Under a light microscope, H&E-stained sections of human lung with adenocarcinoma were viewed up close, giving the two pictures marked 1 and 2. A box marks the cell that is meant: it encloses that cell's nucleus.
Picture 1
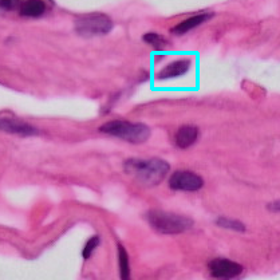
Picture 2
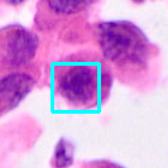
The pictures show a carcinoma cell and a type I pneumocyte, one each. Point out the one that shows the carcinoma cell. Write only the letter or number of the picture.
2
